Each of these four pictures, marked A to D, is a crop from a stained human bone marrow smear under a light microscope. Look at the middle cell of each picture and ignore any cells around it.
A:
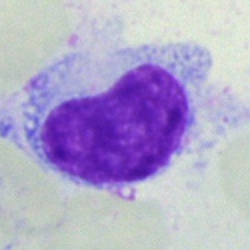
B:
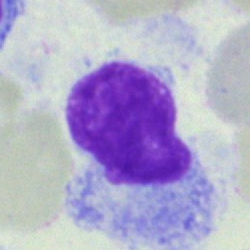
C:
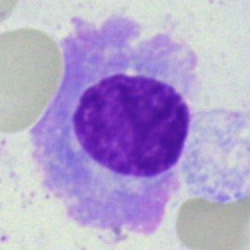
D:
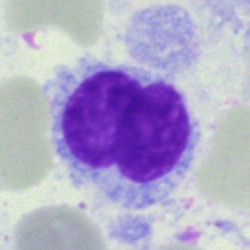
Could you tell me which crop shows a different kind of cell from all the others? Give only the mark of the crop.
C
